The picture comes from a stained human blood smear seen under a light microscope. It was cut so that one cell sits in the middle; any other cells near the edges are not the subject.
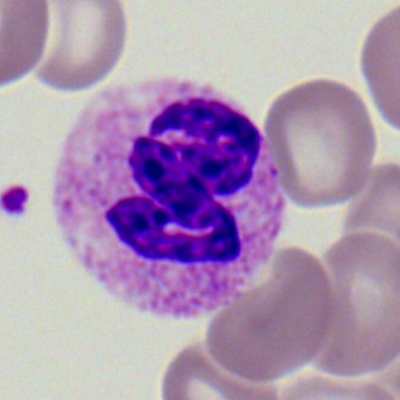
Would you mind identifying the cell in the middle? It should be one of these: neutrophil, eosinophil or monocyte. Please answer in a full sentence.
The central cell, amid any neighbouring cells, is a neutrophil.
